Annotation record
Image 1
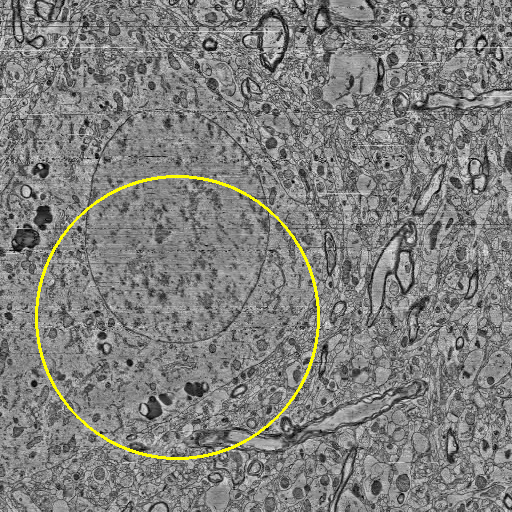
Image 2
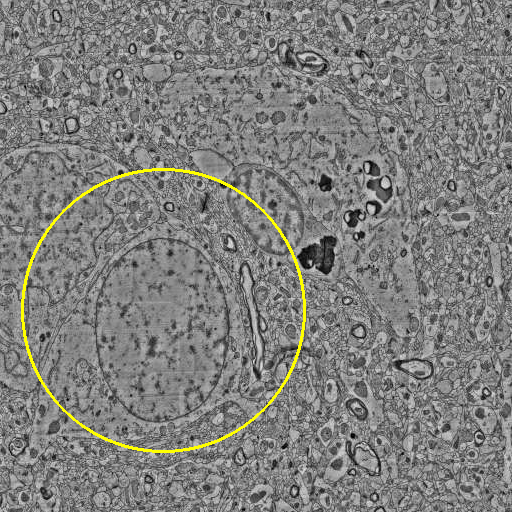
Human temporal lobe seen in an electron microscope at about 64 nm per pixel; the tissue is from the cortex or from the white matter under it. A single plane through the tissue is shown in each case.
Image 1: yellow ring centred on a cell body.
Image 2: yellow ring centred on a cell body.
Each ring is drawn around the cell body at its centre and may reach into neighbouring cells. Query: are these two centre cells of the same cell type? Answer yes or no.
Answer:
yes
